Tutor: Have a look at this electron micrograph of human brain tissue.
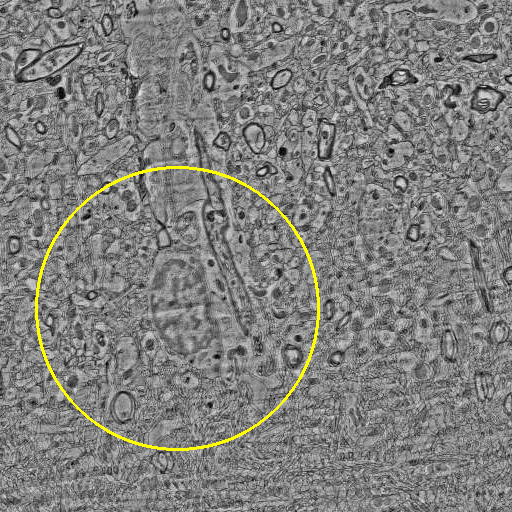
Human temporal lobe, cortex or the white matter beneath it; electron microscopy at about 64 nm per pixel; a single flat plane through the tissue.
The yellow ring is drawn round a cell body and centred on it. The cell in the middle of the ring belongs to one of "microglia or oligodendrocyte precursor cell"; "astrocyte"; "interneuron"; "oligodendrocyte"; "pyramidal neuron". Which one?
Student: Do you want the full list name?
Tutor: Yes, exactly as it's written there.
oligodendrocyte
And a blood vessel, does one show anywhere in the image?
No, the picture includes no blood vessel.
